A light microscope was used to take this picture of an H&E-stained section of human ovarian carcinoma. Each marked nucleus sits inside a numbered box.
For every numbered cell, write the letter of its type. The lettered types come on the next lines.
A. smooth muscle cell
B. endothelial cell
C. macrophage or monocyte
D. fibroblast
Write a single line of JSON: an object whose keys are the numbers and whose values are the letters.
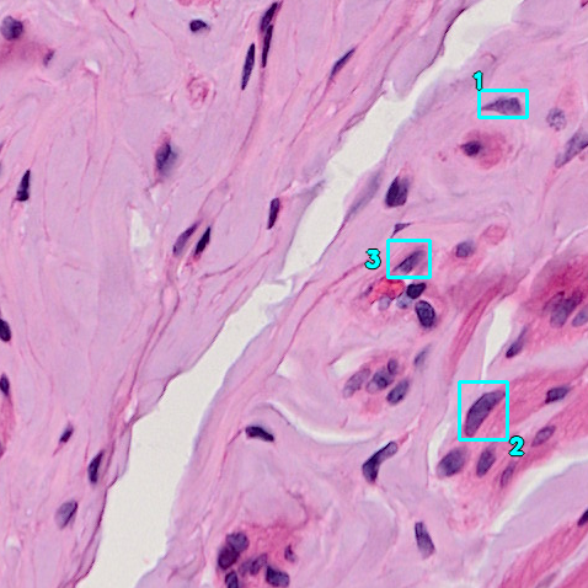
{"1": "D", "2": "A", "3": "B"}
